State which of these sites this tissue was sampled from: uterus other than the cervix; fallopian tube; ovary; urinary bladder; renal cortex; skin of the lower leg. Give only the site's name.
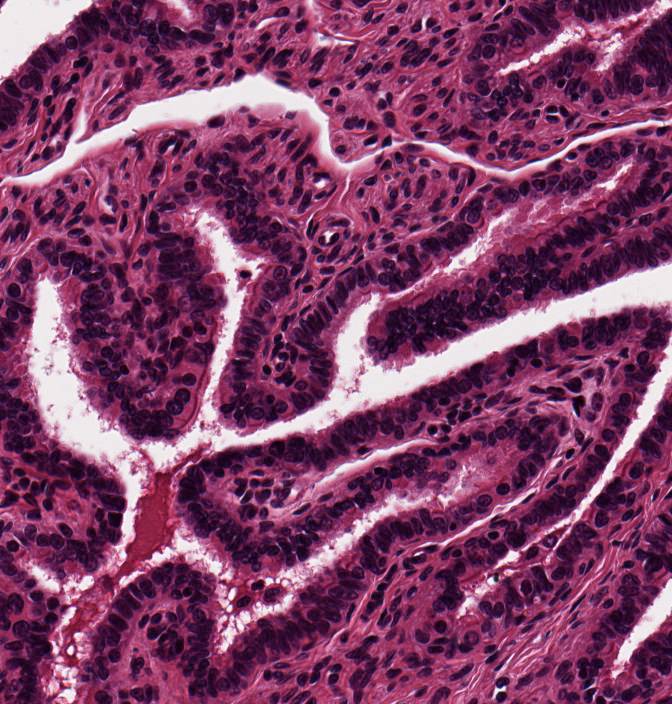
fallopian tube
